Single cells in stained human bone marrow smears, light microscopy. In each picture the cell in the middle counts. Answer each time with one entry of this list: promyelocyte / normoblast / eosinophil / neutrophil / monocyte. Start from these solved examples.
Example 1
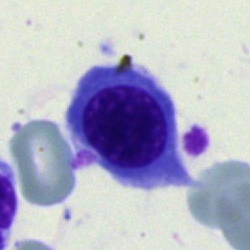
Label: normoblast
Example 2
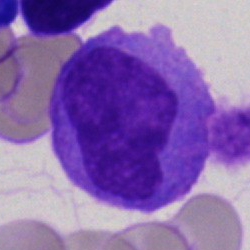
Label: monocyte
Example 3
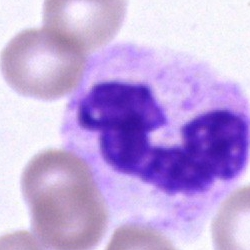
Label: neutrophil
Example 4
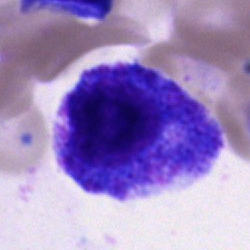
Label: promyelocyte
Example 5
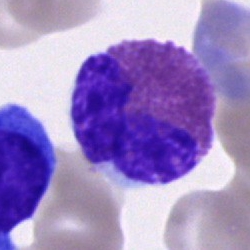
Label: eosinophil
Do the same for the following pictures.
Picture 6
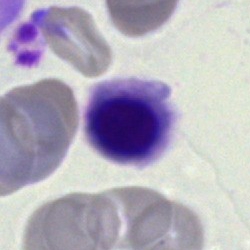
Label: normoblast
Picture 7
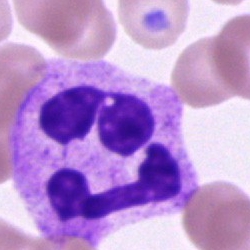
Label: neutrophil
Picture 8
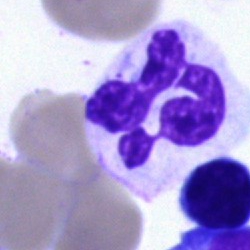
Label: neutrophil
